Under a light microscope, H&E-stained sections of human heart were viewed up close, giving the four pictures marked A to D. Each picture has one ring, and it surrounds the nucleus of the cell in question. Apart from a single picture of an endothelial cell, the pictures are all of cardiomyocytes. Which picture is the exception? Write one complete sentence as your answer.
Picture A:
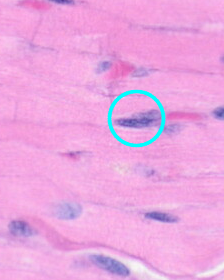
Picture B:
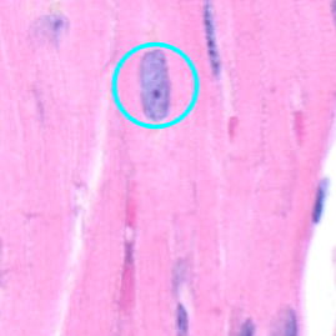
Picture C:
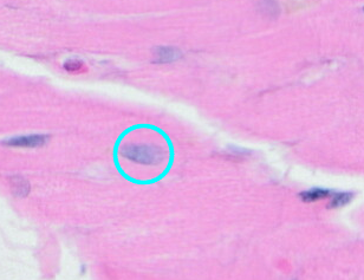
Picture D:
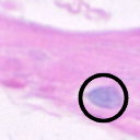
It is picture A that shows the endothelial cell.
